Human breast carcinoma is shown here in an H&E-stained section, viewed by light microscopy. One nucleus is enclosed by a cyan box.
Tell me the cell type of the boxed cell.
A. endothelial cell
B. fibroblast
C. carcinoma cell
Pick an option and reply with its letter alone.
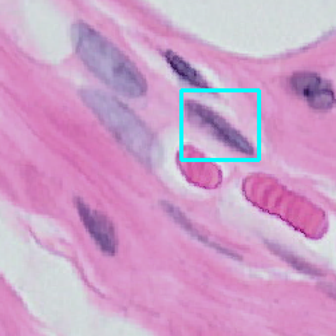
A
